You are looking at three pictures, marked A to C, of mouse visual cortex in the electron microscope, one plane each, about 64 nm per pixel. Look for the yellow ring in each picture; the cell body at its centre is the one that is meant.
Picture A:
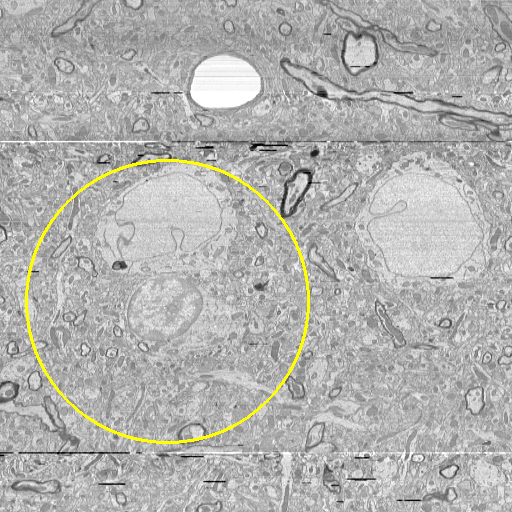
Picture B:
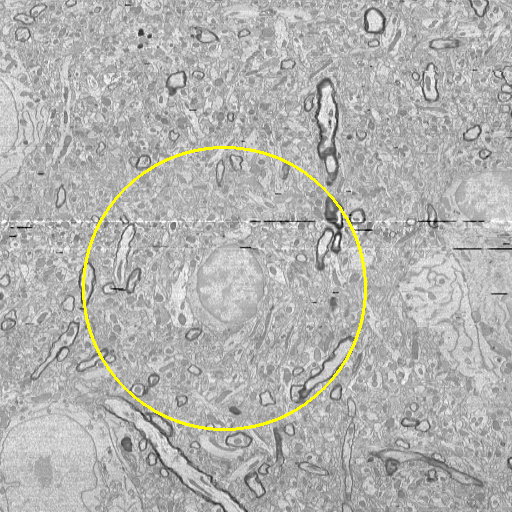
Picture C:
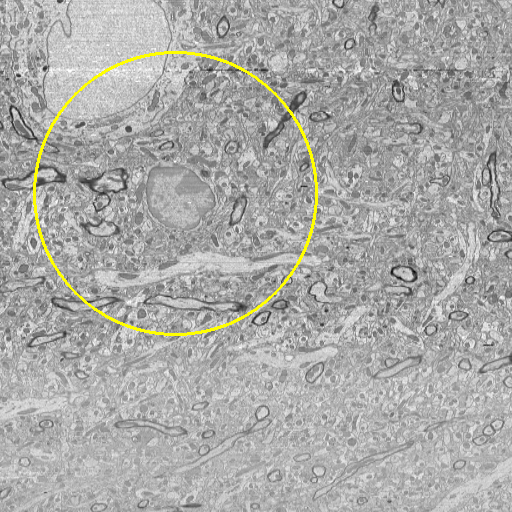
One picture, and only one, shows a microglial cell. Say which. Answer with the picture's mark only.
C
